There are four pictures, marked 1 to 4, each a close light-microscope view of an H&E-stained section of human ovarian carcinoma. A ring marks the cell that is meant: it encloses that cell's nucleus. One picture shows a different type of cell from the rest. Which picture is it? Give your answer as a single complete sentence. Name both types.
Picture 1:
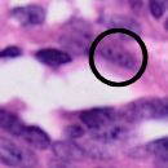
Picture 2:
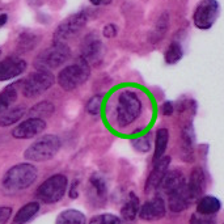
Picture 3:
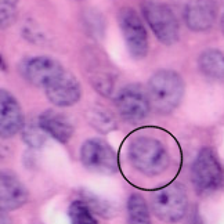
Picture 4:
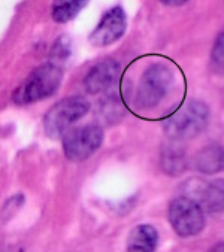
Picture 2 is the odd one out: it shows a “macrophage or monocyte”, while the others show carcinoma cells.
